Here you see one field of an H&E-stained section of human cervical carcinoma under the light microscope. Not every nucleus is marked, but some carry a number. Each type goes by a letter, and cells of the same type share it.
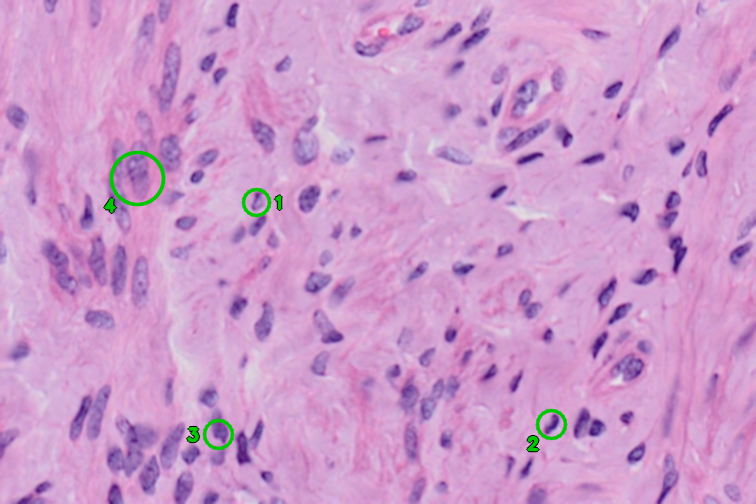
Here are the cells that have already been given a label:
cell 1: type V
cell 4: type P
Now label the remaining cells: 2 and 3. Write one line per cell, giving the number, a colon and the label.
2: type V
3: type V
